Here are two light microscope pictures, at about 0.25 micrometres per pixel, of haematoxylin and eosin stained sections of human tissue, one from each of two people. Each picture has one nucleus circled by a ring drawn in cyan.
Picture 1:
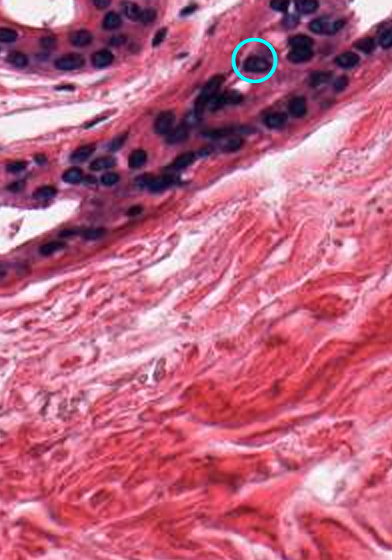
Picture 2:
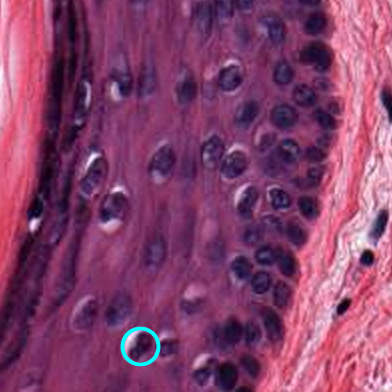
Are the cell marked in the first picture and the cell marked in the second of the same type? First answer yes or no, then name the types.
No, the first is a sweat gland cell and the second a keratinocyte.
